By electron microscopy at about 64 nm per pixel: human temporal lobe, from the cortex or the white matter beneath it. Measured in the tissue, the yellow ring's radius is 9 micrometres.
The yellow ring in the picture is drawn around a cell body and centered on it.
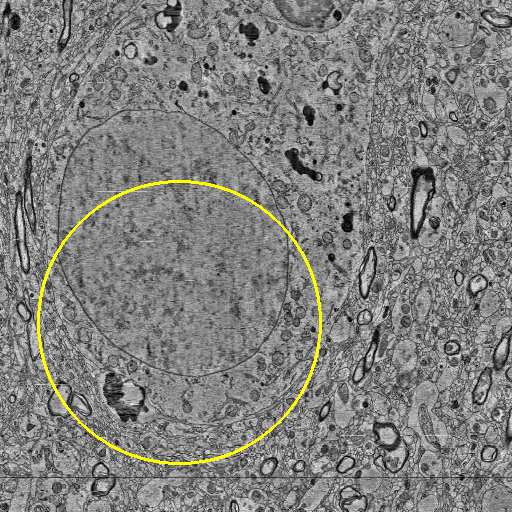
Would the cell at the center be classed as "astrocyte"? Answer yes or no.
No, it belongs to another class.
